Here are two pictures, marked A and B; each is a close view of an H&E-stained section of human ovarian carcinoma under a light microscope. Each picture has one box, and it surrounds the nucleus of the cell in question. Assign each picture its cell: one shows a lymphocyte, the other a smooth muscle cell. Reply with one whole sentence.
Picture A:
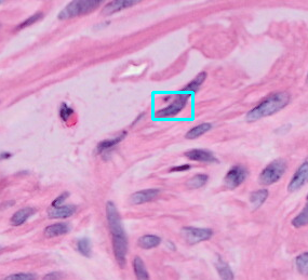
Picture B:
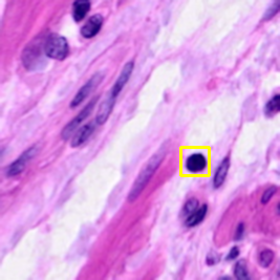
It is picture A that shows a smooth muscle cell, and picture B that shows a lymphocyte.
